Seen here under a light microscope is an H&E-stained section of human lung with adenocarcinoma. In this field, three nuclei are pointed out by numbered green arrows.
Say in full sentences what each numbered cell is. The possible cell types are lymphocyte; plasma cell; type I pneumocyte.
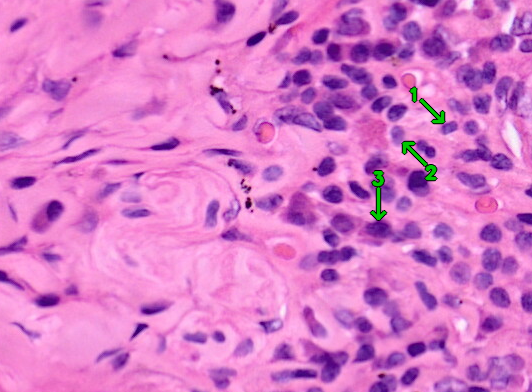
Cell 1 is a lymphocyte, cell 2 is a lymphocyte and cell 3 is a plasma cell.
